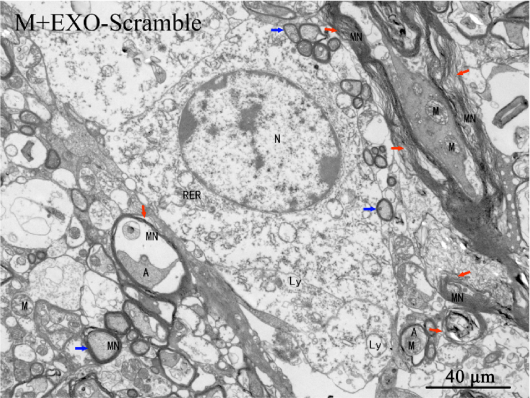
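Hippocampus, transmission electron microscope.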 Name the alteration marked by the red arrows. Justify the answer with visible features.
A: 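The red arrows point at dark sheaths around axon profiles. Several of these sheaths are irregular, thickened or split rather than thin even rings.
Hence: loose and demyelinated axonal myelin.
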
